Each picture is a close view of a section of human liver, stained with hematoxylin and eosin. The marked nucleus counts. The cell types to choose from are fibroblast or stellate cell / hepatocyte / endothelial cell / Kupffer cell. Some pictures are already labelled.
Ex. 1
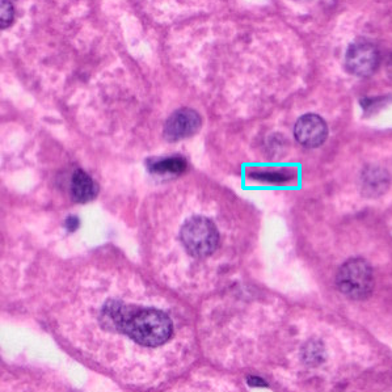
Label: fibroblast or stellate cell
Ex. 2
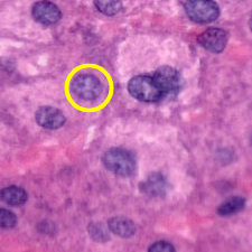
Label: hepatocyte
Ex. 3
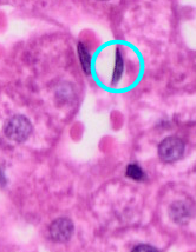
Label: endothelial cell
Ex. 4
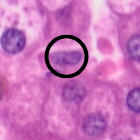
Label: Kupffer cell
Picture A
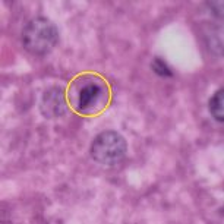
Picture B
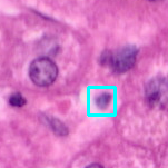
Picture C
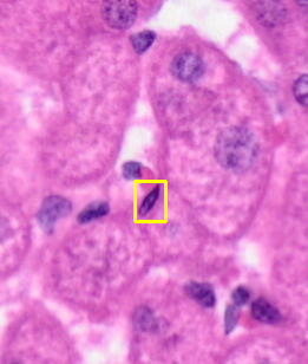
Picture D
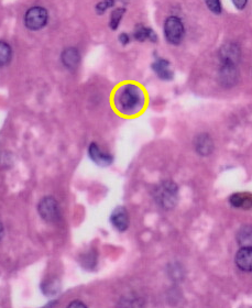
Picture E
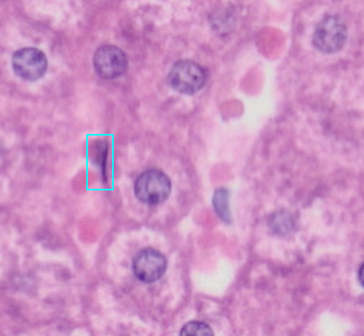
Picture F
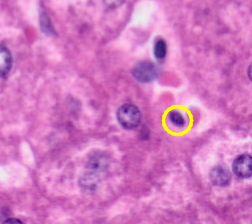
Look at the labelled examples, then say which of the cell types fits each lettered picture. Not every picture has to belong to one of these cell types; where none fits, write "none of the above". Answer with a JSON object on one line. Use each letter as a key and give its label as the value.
{"A": "fibroblast or stellate cell", "B": "none of the above", "C": "fibroblast or stellate cell", "D": "fibroblast or stellate cell", "E": "endothelial cell", "F": "none of the above"}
